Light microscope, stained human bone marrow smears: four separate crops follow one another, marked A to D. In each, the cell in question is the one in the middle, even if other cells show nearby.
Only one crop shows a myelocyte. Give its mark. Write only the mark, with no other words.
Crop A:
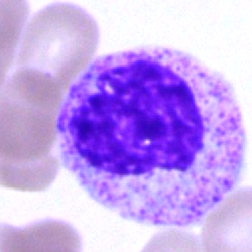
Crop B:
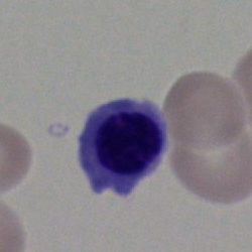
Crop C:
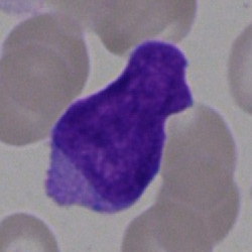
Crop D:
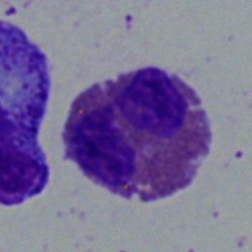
A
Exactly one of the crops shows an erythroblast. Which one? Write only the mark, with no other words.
B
